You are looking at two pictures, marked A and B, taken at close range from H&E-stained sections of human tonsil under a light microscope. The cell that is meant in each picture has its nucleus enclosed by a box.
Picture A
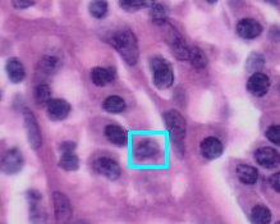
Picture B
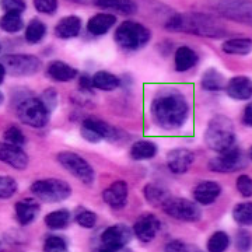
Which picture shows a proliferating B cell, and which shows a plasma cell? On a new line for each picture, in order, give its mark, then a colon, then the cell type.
A: plasma cell
B: proliferating B cell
